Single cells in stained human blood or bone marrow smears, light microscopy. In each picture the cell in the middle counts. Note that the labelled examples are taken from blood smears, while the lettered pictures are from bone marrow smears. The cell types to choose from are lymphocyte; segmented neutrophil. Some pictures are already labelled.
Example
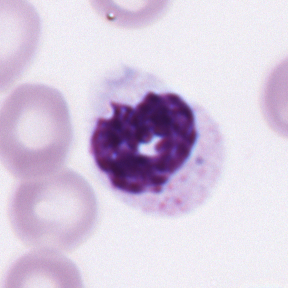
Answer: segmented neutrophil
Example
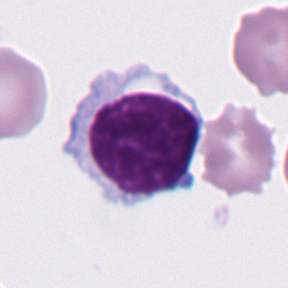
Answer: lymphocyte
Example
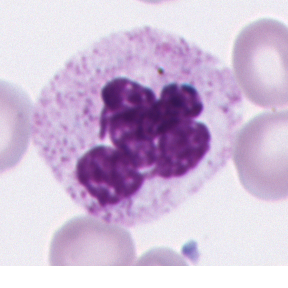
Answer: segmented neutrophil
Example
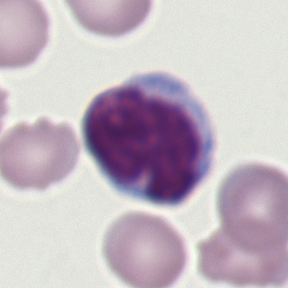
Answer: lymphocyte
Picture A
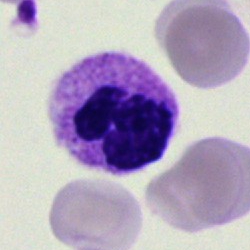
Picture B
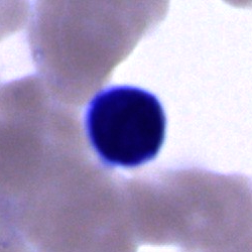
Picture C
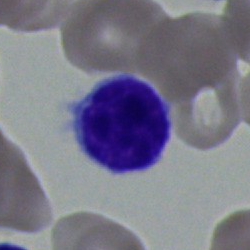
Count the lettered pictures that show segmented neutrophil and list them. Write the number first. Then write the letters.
1, namely A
